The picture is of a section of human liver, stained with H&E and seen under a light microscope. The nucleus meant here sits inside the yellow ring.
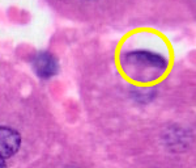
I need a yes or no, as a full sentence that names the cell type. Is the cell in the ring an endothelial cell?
Yes, the cell in the ring is rightly regarded as an endothelial cell.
